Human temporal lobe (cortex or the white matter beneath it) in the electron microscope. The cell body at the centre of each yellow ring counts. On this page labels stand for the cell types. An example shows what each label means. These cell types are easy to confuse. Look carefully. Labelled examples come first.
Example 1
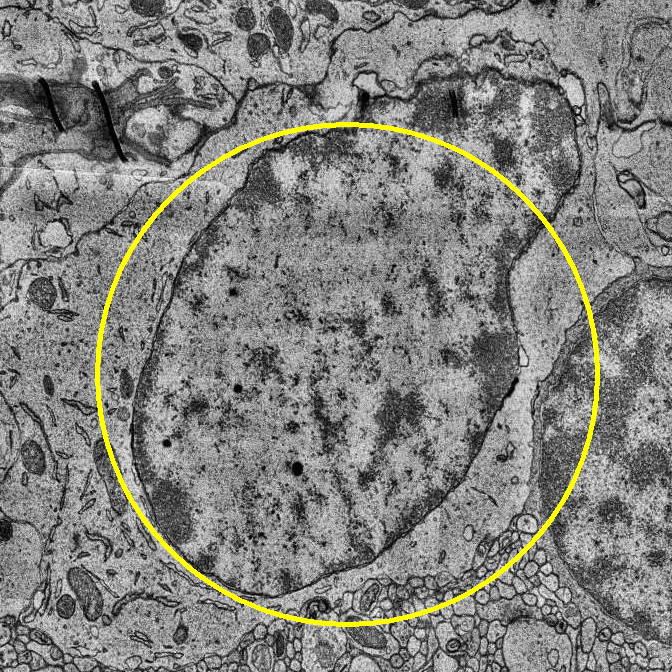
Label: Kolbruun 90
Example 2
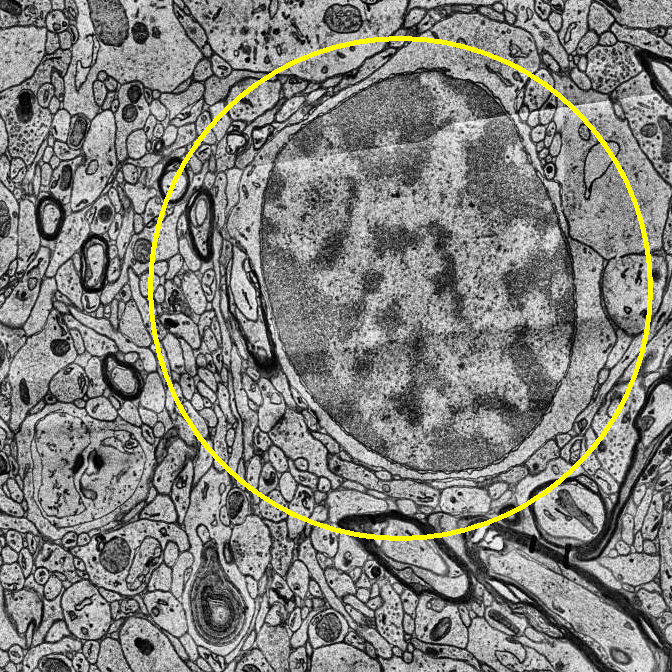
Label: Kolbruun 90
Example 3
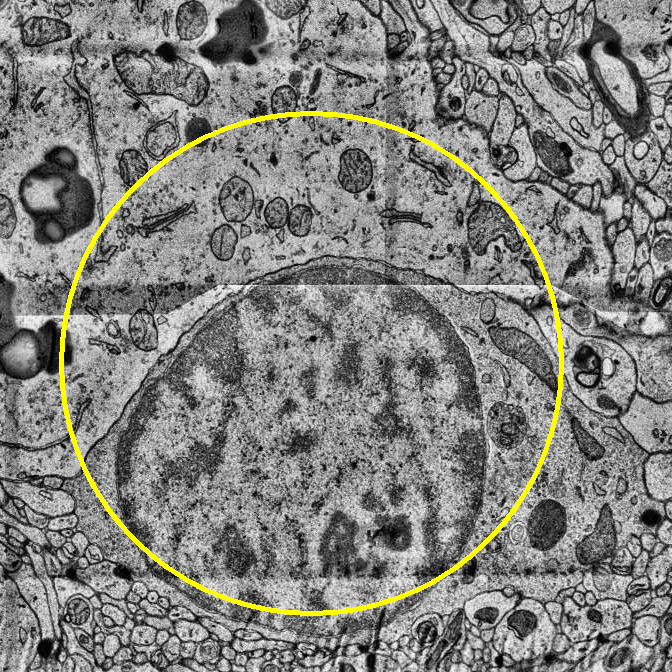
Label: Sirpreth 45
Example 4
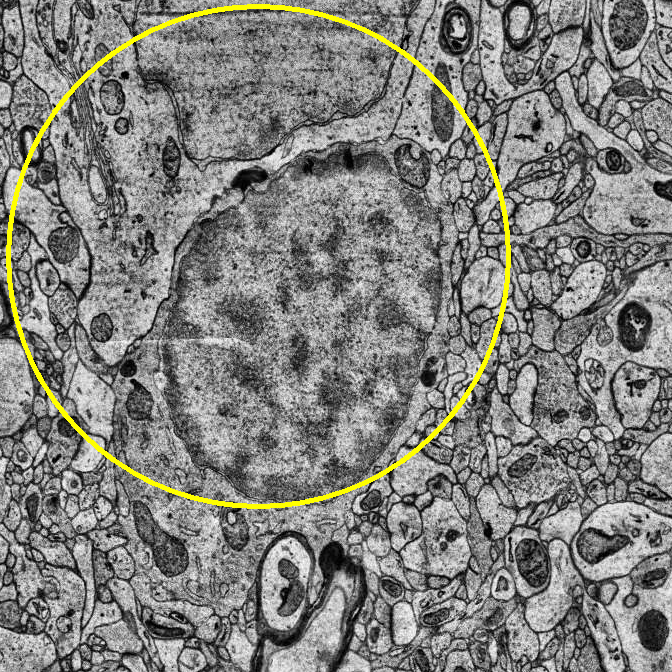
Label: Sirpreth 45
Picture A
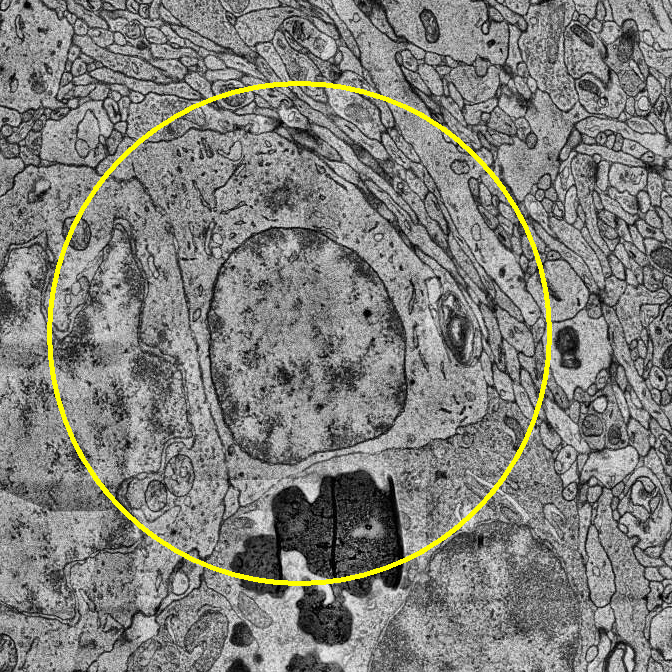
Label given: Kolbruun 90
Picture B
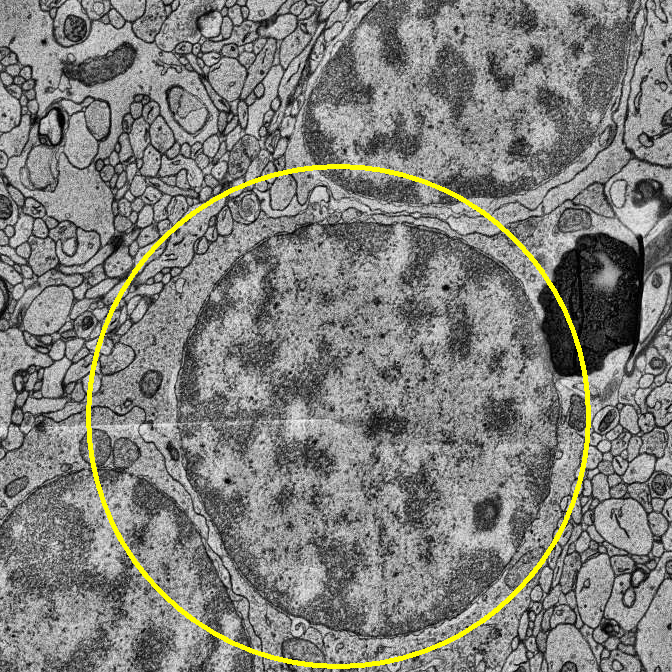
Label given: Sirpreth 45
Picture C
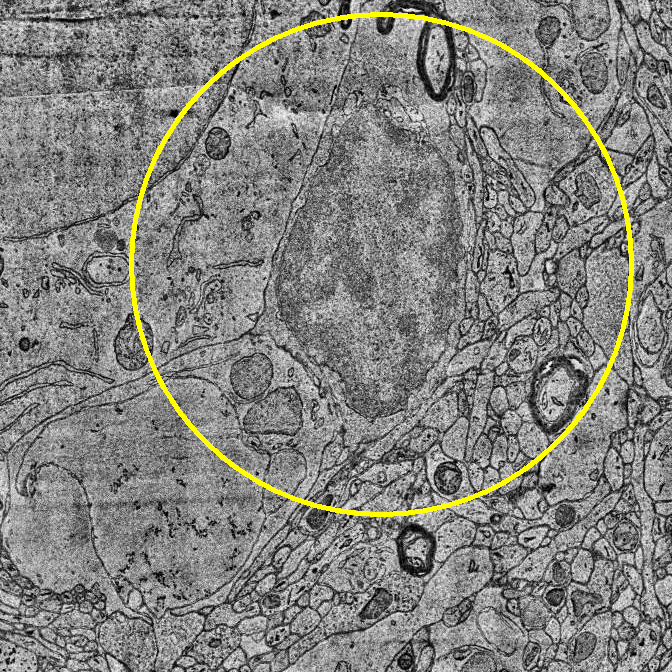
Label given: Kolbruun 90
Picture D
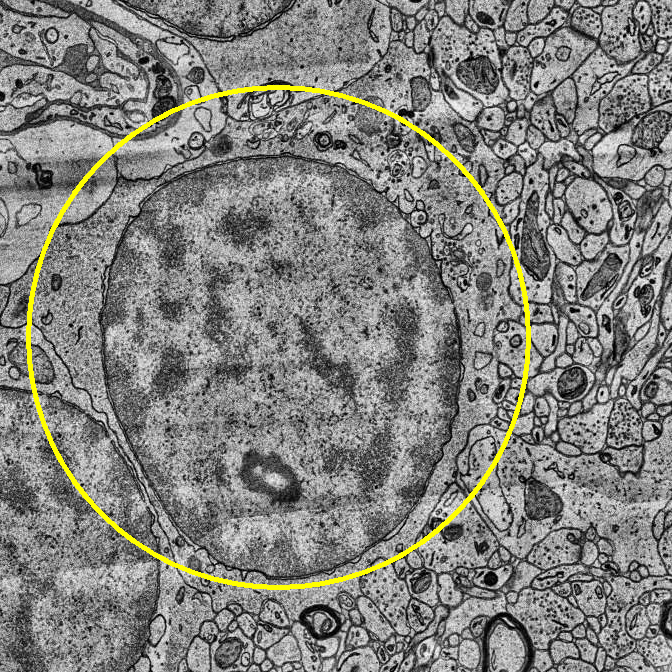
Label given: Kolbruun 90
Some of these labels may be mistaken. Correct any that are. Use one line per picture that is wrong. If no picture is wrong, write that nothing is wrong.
Wrong: C (Kolbruun 90); correct: Sirpreth 45
Wrong: D (Kolbruun 90); correct: Sirpreth 45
